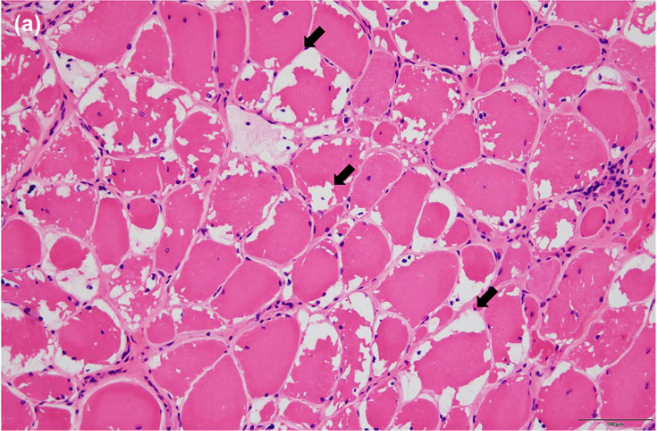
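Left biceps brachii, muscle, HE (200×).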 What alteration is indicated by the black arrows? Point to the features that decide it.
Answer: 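Clear, unstained irregular spaces lie at the edges of many pink fibers. The spaces have ragged, uneven outlines. They sit just inside the fiber borders.
Conclusion: irregular-shaped sub-sarcolemmal vacuoles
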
